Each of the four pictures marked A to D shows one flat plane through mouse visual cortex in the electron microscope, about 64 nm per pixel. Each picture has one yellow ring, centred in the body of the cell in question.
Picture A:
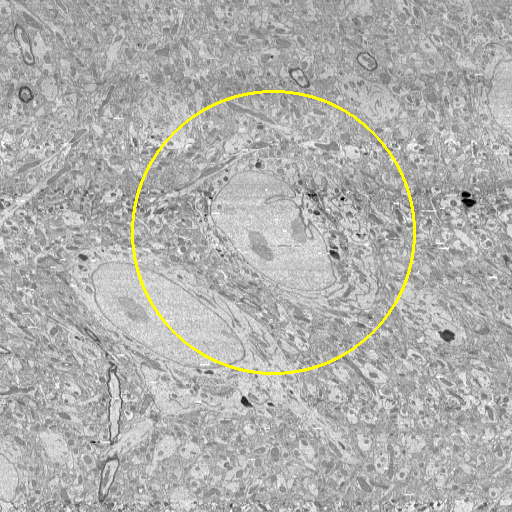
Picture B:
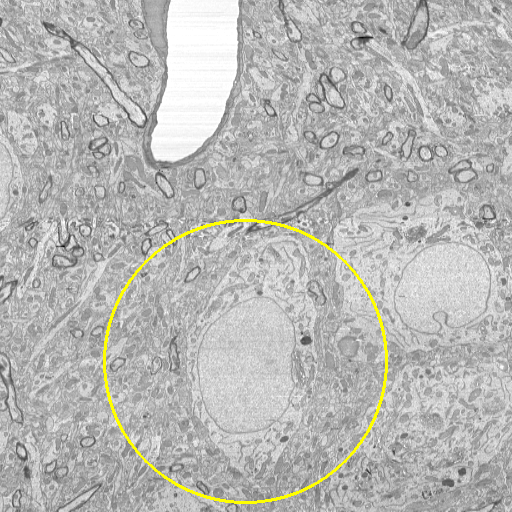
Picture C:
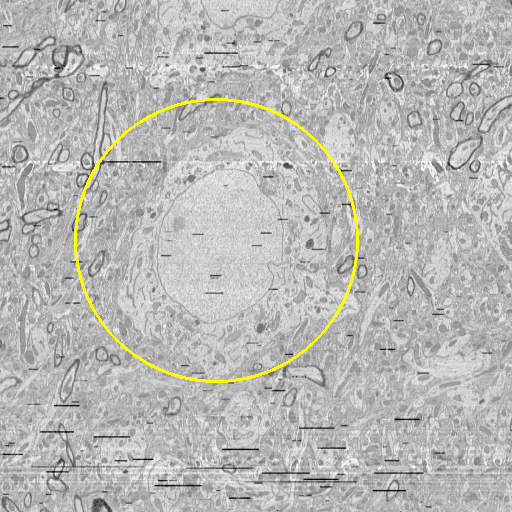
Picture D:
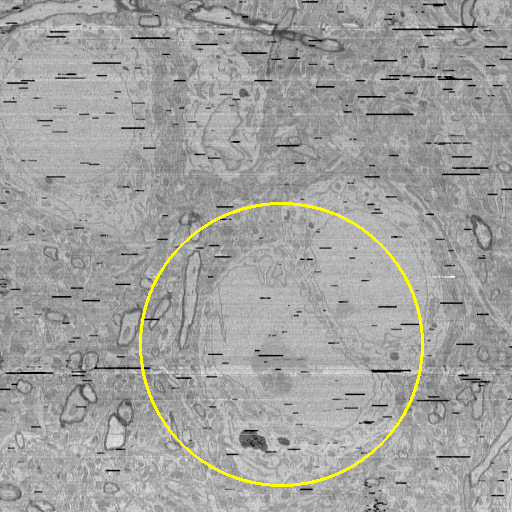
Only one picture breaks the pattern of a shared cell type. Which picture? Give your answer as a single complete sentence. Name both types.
Picture C is the odd one out: it shows an excitatory neuron, while the others show inhibitory neurons.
